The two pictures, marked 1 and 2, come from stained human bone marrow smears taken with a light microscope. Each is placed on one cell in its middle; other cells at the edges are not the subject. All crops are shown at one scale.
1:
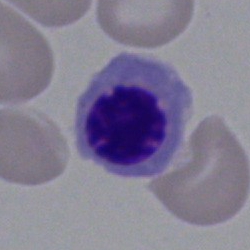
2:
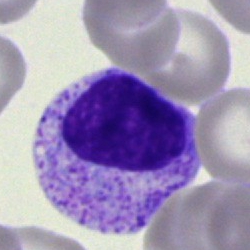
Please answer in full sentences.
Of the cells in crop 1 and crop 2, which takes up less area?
Crop 1 holds the smaller cell, since the cell in crop 2 covers about 2 times as much area.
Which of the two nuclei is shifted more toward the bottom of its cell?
In crop 1 the nucleus is shifted more toward the bottom.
